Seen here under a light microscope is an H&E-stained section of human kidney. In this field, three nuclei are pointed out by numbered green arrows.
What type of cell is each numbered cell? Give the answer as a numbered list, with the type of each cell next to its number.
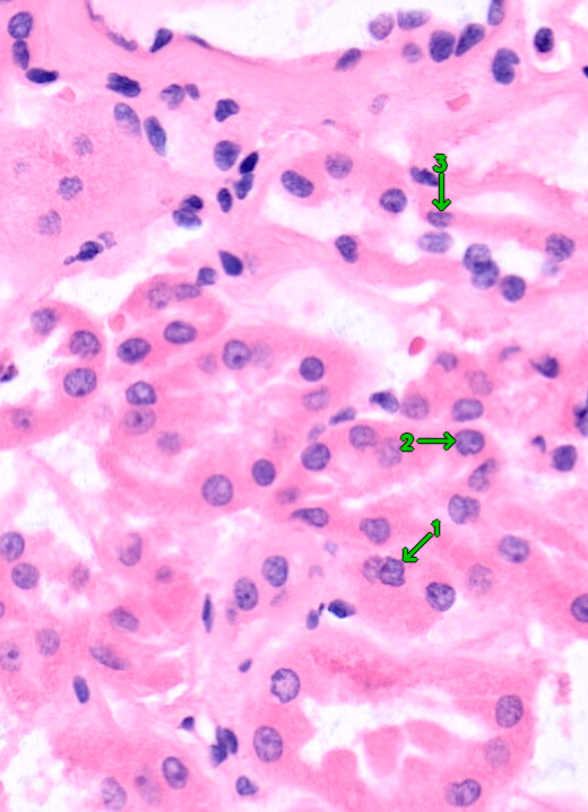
1. proximal tubule cell
2. proximal tubule cell
3. loop of Henle or distal tubule cell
